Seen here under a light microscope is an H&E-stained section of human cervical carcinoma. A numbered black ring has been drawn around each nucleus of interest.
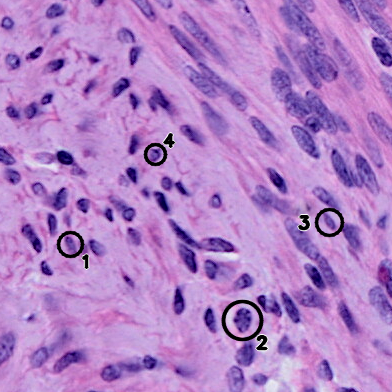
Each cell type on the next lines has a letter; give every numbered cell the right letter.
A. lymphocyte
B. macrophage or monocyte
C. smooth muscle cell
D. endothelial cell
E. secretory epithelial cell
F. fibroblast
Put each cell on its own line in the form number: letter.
1: C
2: A
3: C
4: C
